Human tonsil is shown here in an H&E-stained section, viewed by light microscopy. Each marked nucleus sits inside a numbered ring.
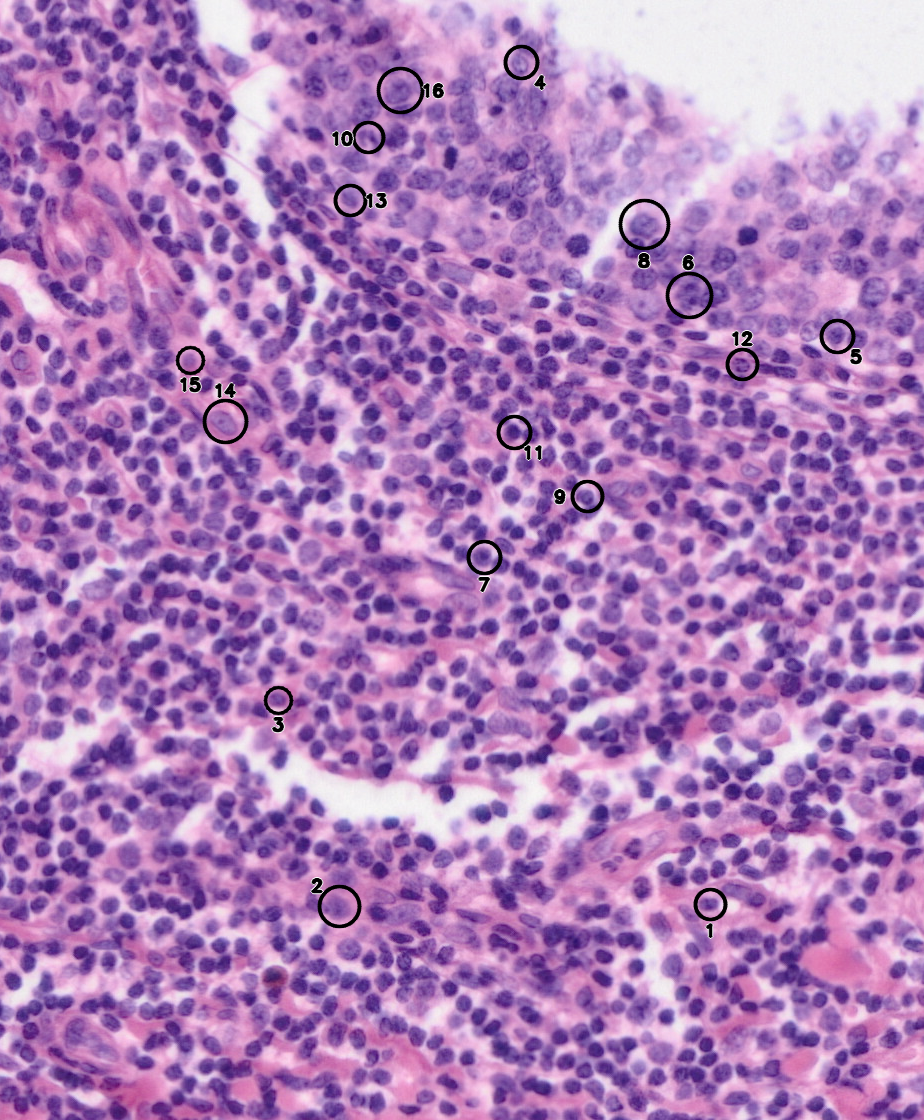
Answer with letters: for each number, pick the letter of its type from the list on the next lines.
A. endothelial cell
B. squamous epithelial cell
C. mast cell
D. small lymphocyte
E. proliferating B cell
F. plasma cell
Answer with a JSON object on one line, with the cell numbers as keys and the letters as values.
{"1": "A", "2": "A", "3": "A", "4": "E", "5": "E", "6": "E", "7": "D", "8": "E", "9": "D", "10": "E", "11": "D", "12": "F", "13": "E", "14": "A", "15": "A", "16": "E"}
